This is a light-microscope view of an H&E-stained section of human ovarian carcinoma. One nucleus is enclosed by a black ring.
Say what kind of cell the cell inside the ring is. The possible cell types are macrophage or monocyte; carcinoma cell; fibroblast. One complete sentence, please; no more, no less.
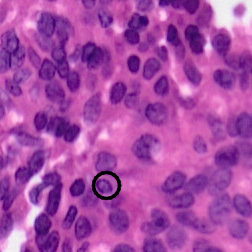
Placed in its cell category, the cell inside the ring is a macrophage or monocyte.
